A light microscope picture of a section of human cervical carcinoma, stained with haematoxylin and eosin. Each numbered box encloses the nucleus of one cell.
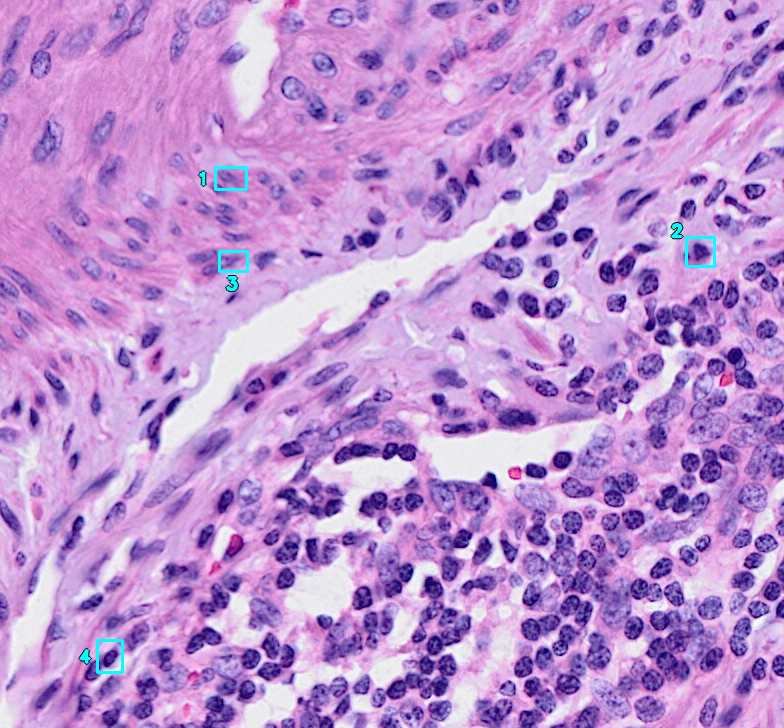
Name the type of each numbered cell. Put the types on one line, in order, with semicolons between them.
smooth muscle cell; lymphocyte; smooth muscle cell; lymphocyte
